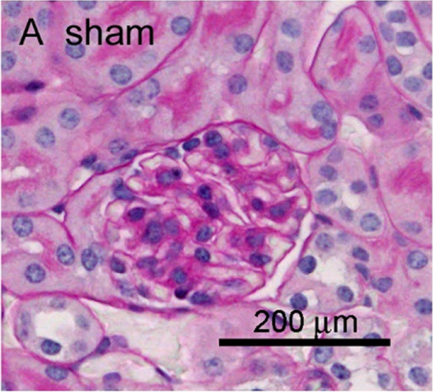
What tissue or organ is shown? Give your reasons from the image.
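A round tuft of capillary loops sits inside a thin capsule with a clear space around it. The tuft is surrounded by cross-sectioned tubules lined by cuboidal cells with pink cytoplasm and round nuclei. That points to this answer: renal tissue.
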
